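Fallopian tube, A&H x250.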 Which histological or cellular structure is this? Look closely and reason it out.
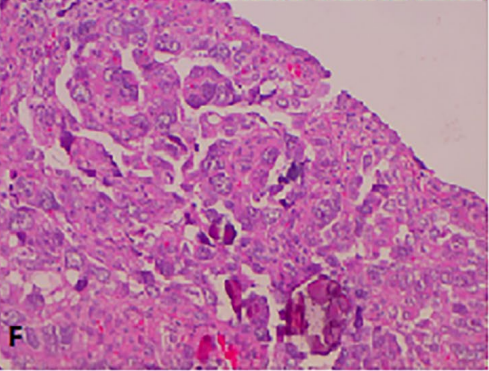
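Several dark purple, rounded, concretion-like bodies lie among the epithelial cells in the lower part. They stain more intensely than the surrounding nuclei.
Hence: psammoma bodies.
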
